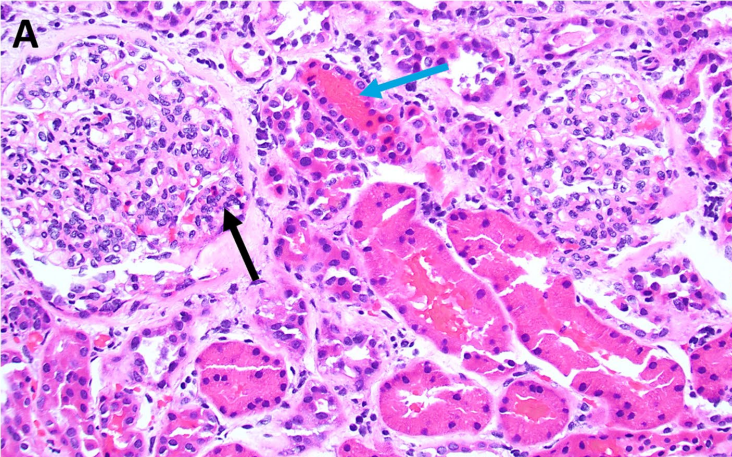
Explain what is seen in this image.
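Kidney cortex with two glomeruli and surrounding tubules: the glomeruli show crowded capillary tufts with many nuclei inside Bowman's capsule, and one small cell with a dark nucleus sits within a glomerular capillary loop. Nearby tubules have pink eosinophilic cytoplasm, and one tubule is filled with a dense red-orange cast of red blood cells.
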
